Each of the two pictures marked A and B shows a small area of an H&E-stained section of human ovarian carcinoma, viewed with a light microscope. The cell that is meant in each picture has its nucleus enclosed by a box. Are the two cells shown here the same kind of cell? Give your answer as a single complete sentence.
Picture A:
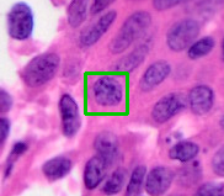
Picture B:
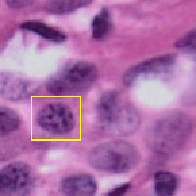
Yes, both cells are “macrophages or monocytes”.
